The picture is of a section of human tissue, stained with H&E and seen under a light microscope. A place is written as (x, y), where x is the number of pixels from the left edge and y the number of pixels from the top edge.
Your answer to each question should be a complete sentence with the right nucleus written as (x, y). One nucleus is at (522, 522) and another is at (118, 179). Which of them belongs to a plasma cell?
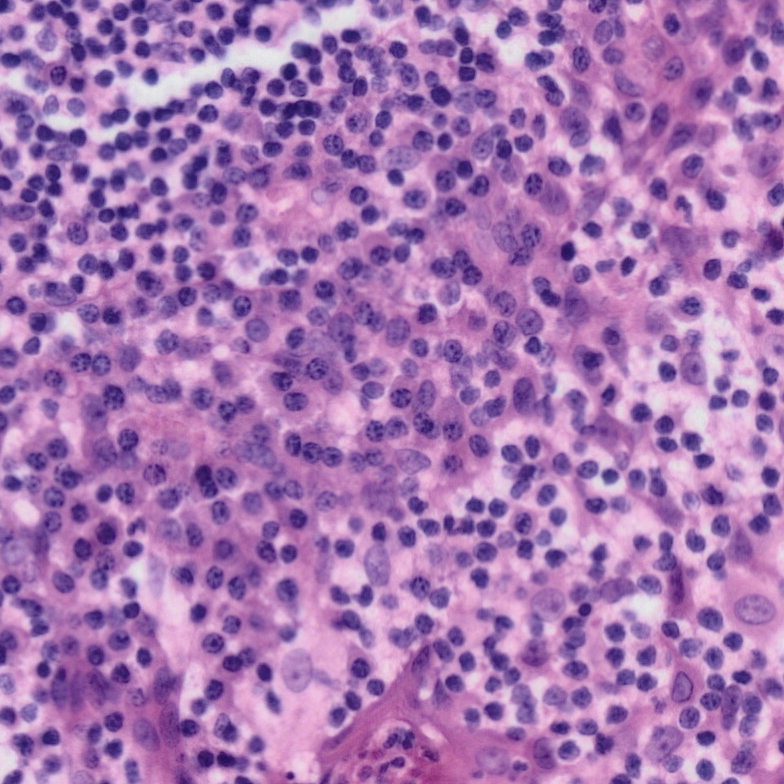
The nucleus at (522, 522) belongs to a plasma cell, which distinguishes it from the other nucleus.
